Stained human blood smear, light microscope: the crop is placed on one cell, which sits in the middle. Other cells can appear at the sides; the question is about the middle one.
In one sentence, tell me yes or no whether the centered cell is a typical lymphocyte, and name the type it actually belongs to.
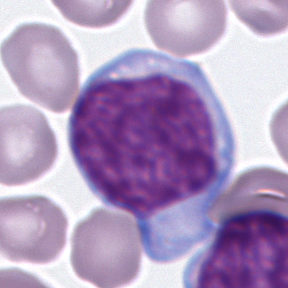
No, the cell in the middle of the crop counts as a myeloblast and not as a typical lymphocyte.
